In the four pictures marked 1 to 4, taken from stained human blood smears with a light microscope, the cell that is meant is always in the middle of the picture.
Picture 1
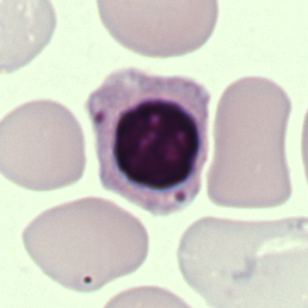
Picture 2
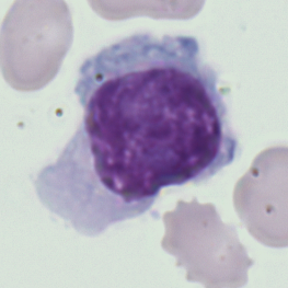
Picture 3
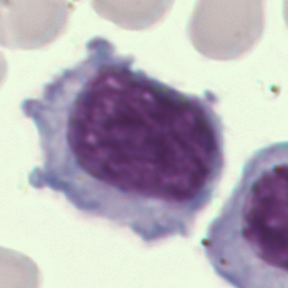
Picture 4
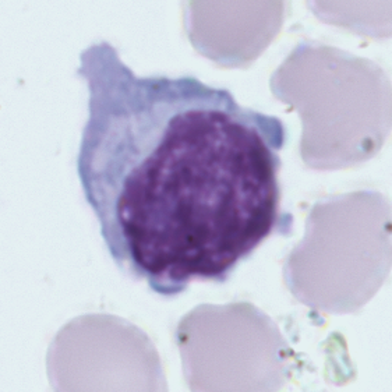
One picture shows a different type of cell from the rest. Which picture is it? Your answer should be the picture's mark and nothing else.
1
